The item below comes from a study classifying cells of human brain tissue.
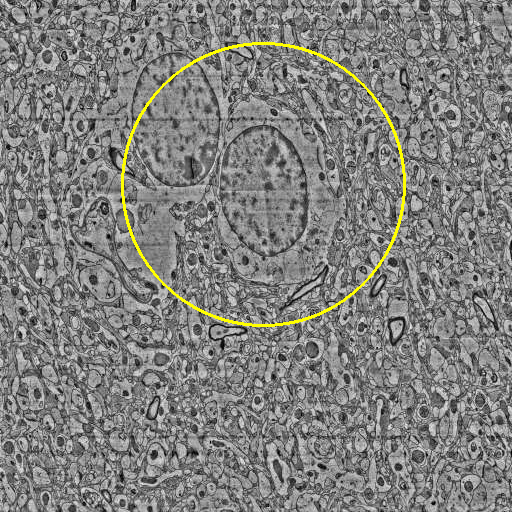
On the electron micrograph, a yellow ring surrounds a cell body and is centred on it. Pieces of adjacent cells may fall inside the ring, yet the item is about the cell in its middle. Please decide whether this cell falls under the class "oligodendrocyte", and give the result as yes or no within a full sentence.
No, the cell at the middle of the ring on the micrograph is of another kind.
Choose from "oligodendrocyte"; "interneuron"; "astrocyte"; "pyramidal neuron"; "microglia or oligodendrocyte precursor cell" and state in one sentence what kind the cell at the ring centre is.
What the ring is centred on is an astrocyte.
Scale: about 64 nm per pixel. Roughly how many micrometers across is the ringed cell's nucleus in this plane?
Approximately 8 micrometres long and 6 micrometres wide, in this plane.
